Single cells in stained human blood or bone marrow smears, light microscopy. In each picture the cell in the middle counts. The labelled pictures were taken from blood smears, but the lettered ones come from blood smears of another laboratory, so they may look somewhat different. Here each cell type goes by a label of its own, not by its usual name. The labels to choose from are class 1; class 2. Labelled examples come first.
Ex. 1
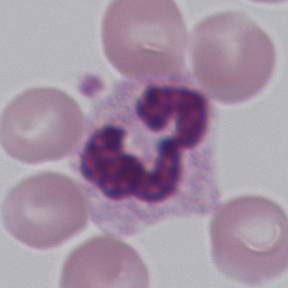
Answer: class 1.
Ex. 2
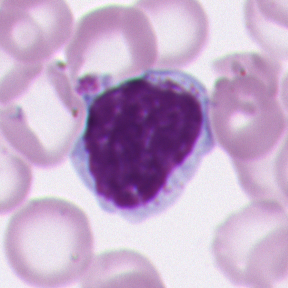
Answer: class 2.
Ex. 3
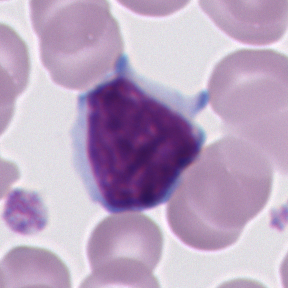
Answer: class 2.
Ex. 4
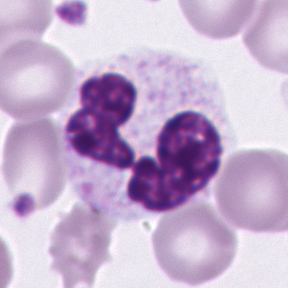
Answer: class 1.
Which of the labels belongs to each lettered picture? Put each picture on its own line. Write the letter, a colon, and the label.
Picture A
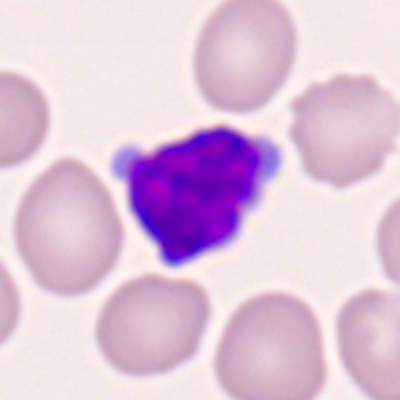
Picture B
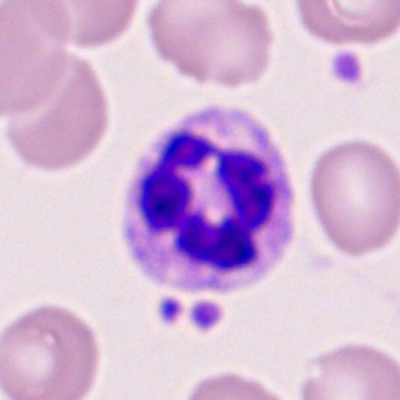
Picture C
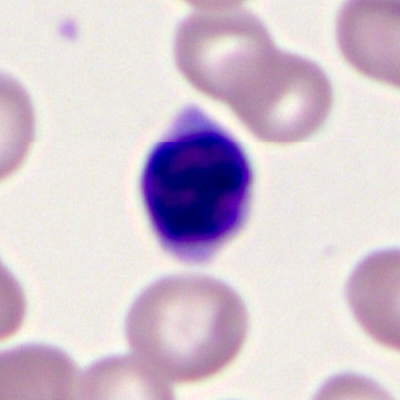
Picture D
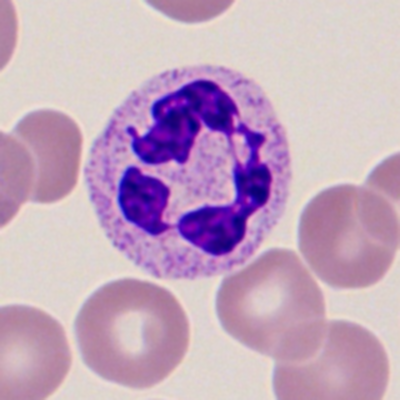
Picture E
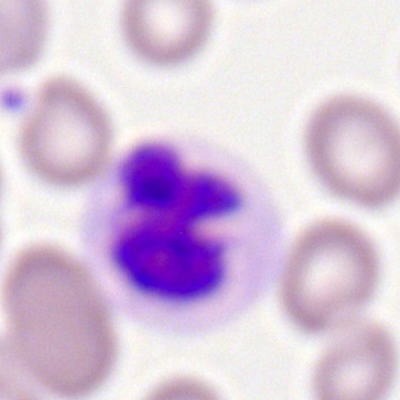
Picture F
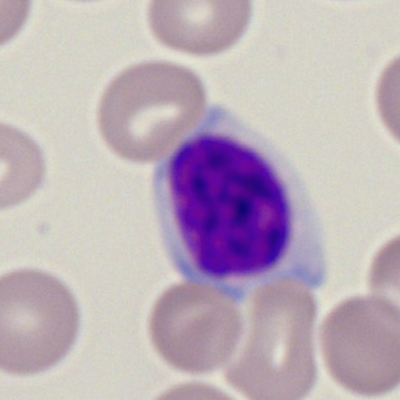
A: class 2.
B: class 1.
C: class 2.
D: class 1.
E: class 1.
F: class 2.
